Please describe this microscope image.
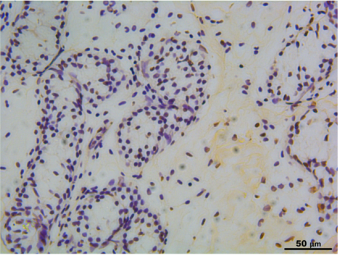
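This is testicular tissue in which the tubules appear as small rounded profiles lined by only one or a few rows of cells, with little filling their centres. Most nuclei are small and blue, few are brown, and the tubules lie in a broad, pale, loose interstitium.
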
